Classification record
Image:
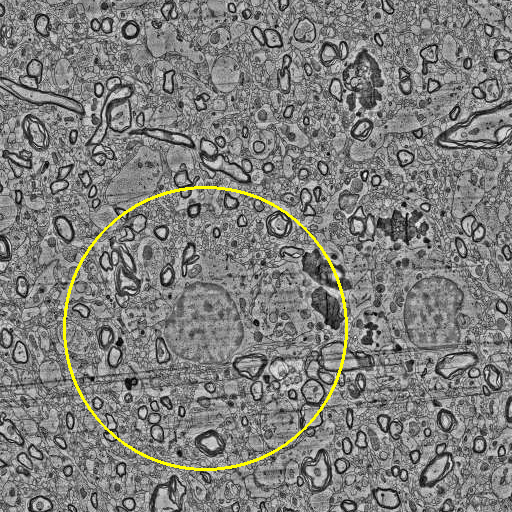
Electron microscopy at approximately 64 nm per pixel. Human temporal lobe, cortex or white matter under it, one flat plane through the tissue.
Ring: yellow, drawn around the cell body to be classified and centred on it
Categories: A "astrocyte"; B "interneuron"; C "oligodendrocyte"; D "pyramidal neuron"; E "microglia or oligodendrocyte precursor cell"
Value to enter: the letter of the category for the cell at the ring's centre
C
